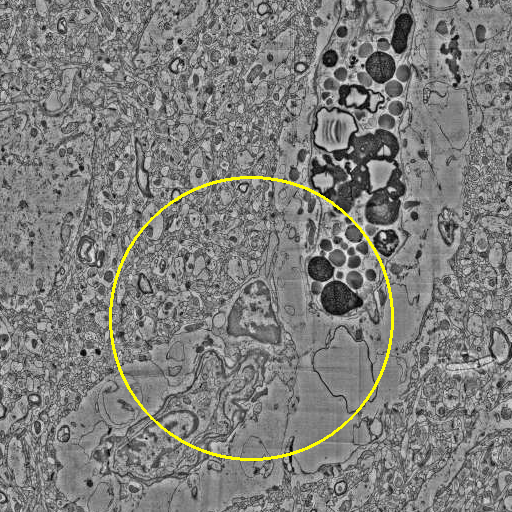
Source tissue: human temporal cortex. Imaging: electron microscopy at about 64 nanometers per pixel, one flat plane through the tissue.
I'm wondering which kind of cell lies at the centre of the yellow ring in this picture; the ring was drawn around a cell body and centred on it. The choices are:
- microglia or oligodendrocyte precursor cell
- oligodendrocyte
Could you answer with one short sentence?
At the centre of the ring lies a microglial cell or oligodendrocyte precursor cell.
